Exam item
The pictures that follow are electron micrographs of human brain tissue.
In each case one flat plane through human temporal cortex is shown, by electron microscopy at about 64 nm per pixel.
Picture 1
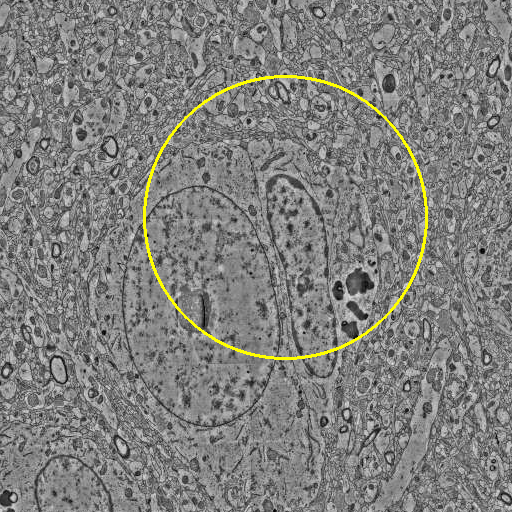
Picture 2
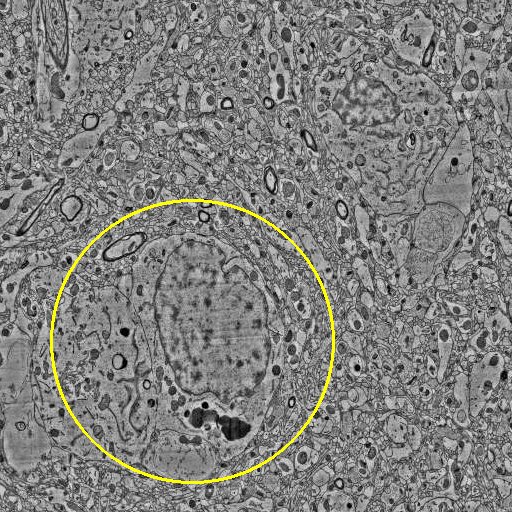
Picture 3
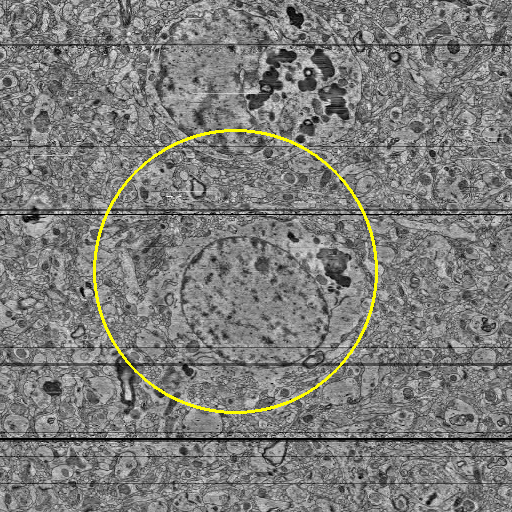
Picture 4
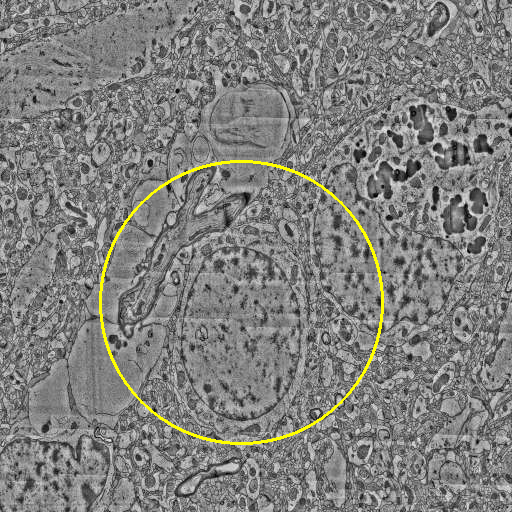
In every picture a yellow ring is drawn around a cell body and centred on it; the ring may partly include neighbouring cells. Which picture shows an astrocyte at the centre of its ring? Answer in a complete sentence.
The cell at the centre of the ring in Picture 3 is the one asked for.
